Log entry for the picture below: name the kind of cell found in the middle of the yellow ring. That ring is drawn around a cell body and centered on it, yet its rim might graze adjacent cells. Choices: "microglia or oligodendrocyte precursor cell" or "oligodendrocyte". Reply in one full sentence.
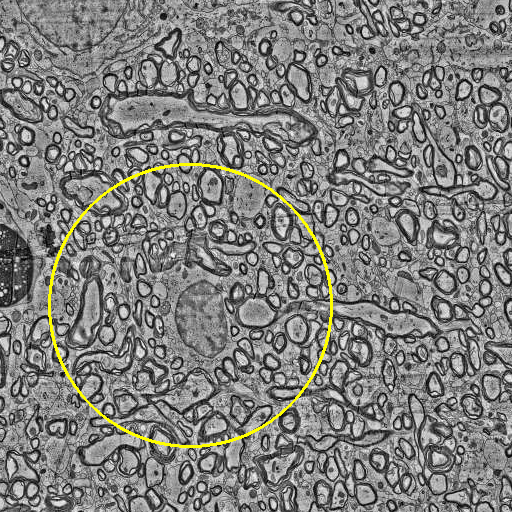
The cell in the middle of the yellow ring in this picture is an oligodendrocyte.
